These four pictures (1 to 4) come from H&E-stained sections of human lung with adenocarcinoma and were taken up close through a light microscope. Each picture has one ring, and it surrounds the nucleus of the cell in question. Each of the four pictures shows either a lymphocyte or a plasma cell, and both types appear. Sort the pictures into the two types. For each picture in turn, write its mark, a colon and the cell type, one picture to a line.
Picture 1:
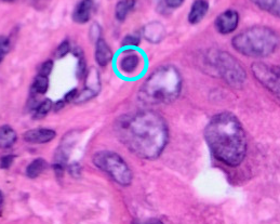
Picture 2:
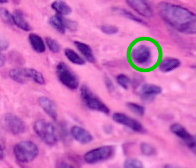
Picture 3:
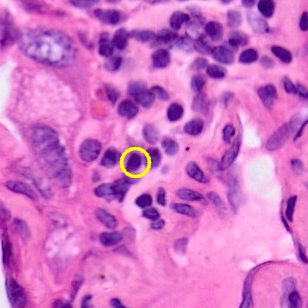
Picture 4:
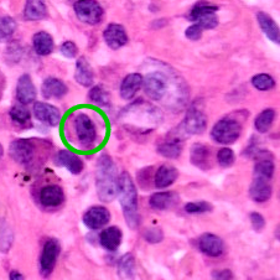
1: lymphocyte
2: lymphocyte
3: lymphocyte
4: plasma cell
